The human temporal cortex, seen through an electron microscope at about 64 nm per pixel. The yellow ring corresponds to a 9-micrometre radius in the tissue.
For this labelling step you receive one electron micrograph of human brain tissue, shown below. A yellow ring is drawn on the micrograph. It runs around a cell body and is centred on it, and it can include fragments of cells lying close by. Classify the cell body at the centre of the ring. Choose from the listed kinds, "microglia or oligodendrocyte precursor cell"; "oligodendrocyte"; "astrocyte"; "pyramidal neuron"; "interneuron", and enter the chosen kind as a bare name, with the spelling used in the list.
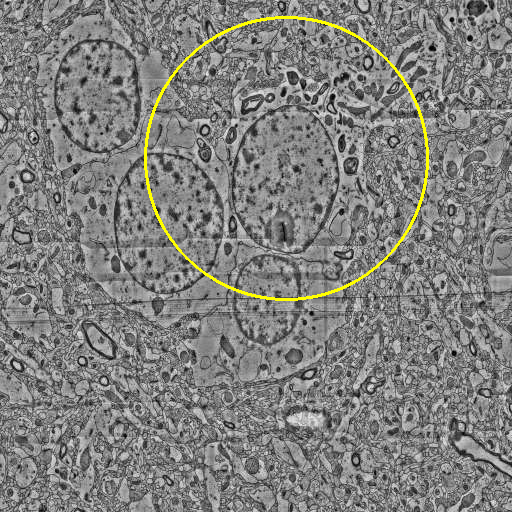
astrocyte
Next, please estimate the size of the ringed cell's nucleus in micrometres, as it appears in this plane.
Roughly 9 micrometres by 7 micrometres, in this plane.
